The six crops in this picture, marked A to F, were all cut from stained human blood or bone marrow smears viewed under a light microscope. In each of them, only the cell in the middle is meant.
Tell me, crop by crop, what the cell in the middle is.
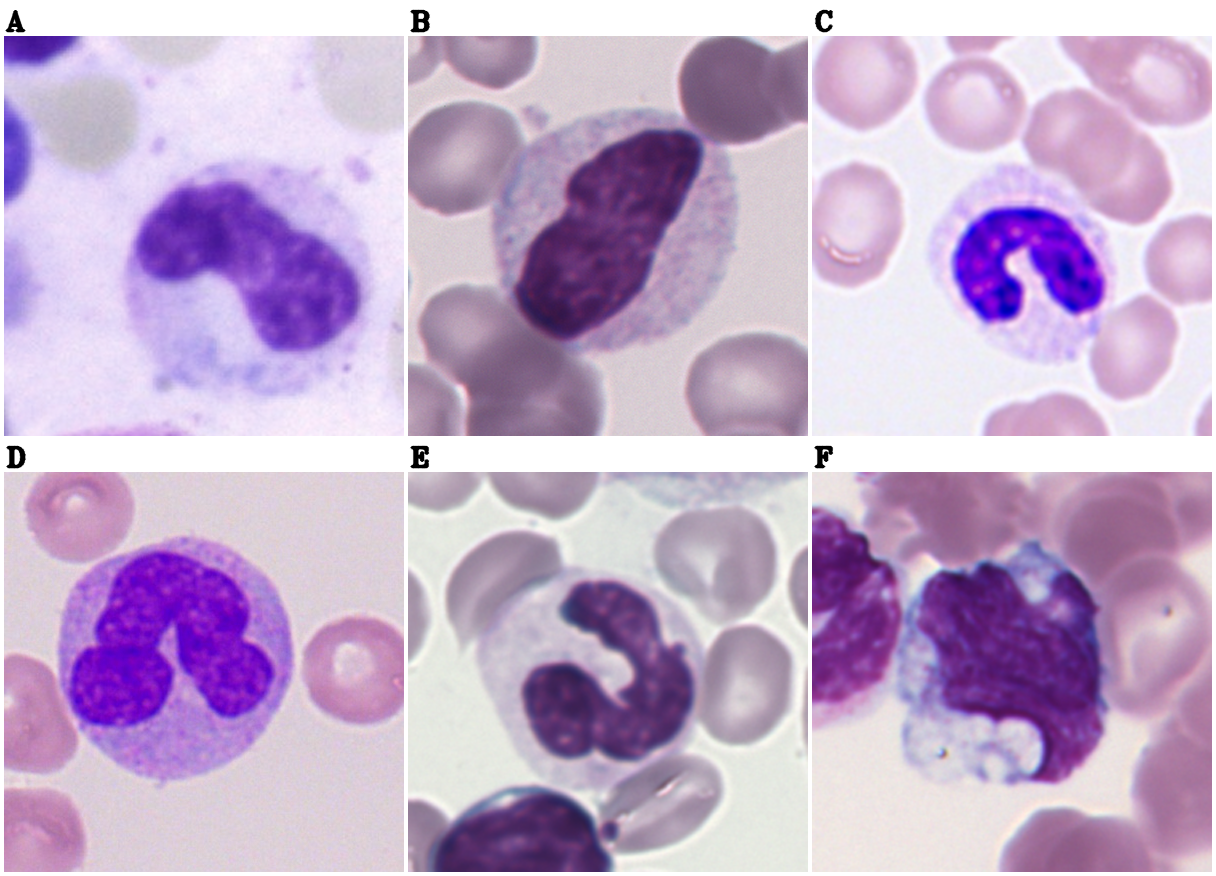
A: band neutrophil
B: band neutrophil
C: band neutrophil
D: monocyte
E: band neutrophil
F: monocyte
